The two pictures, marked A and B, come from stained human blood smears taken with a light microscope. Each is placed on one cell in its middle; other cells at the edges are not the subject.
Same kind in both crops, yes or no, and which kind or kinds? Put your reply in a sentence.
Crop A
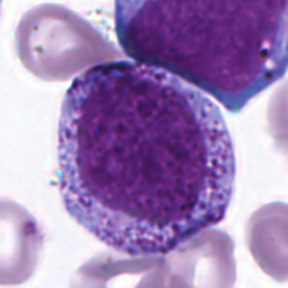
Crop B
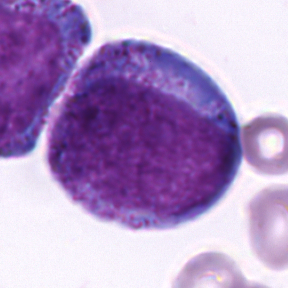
Yes, in the case of both crops, the central cells are promyelocytes.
